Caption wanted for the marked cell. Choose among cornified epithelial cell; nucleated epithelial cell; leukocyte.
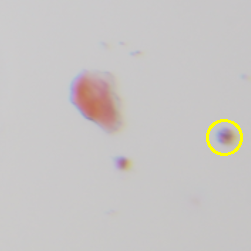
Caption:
Ringed in yellow is a leukocyte.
